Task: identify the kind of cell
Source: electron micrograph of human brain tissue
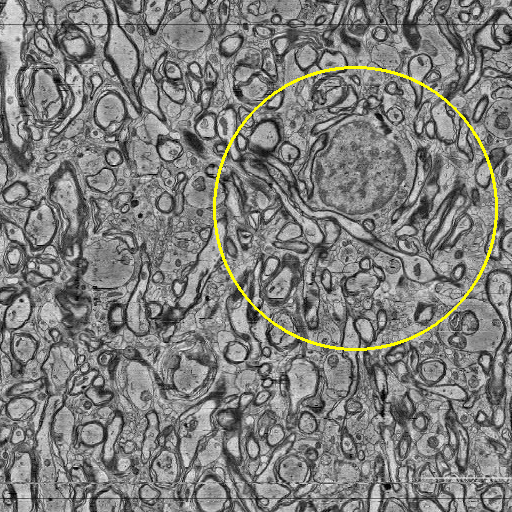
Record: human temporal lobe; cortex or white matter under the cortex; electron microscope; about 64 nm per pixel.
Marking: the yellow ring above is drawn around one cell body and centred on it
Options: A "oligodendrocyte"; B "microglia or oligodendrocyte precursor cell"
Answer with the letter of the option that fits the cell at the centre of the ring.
A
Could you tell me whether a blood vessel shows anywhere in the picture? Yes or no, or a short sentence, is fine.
No, no vessel appears in the picture.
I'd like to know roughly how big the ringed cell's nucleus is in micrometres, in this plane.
The nucleus appears about 6 micrometres across in this plane.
